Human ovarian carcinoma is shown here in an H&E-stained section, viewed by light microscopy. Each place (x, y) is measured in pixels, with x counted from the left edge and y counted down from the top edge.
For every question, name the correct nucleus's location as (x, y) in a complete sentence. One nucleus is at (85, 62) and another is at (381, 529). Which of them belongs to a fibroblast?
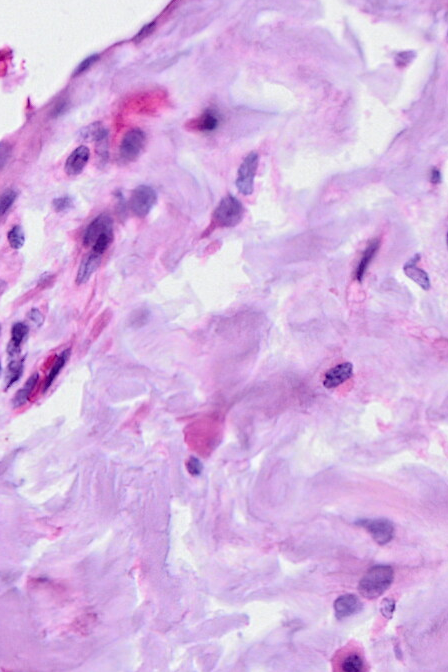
Out of the two, it is the nucleus at (381, 529) that belongs to a fibroblast.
